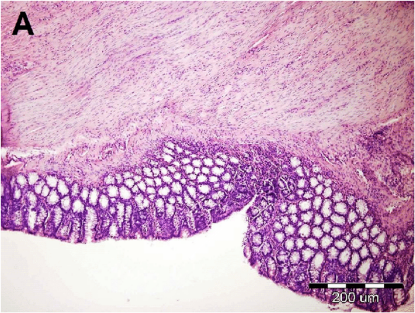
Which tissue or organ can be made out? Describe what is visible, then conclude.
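Colon. Mucosa of densely packed tubular crypts lined by goblet cells with clear mucin. Thick pink layer of smooth muscle beneath the mucosa. No villi on the luminal surface.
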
